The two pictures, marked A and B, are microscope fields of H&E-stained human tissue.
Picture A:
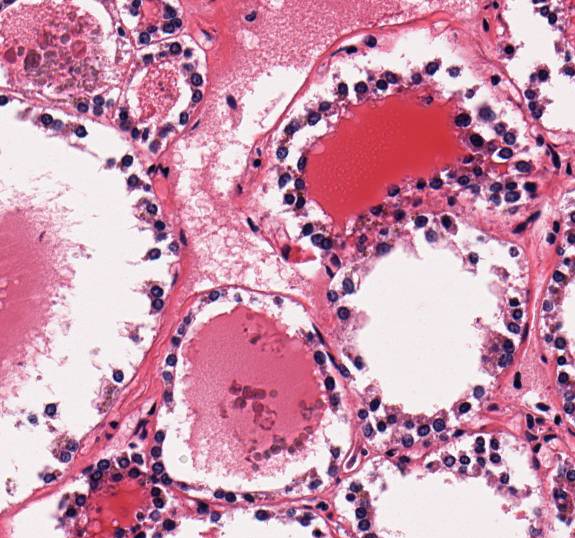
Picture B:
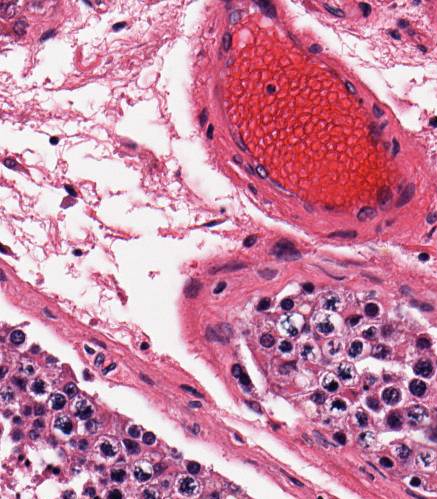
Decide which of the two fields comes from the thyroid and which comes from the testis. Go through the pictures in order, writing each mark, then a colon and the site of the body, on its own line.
A: thyroid
B: testis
